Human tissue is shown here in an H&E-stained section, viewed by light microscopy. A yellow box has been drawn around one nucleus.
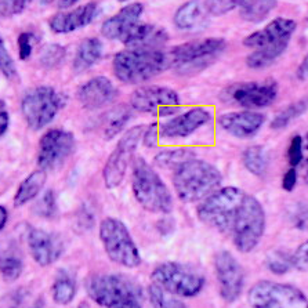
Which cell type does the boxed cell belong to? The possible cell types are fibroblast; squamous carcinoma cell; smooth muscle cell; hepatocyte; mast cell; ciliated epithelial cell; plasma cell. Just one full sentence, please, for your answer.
Just put down that the boxed cell is a squamous carcinoma cell.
